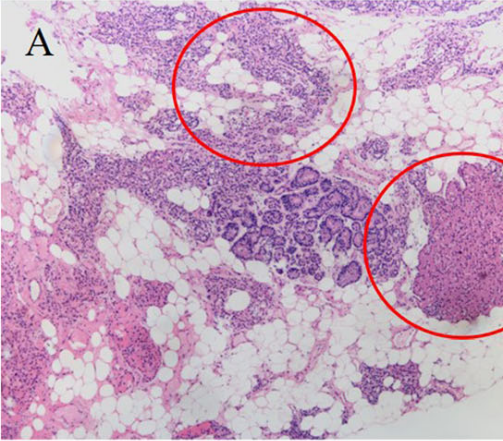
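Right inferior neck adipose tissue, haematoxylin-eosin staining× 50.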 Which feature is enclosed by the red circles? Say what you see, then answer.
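The clusters lie between large empty-looking fat cells.
Answer: microscopic nests of hypercellular parathyroid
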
